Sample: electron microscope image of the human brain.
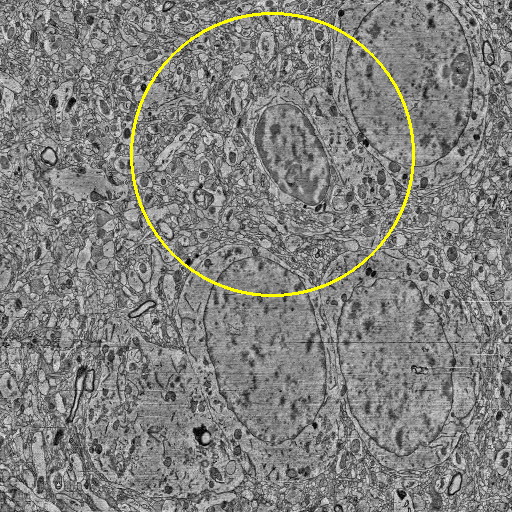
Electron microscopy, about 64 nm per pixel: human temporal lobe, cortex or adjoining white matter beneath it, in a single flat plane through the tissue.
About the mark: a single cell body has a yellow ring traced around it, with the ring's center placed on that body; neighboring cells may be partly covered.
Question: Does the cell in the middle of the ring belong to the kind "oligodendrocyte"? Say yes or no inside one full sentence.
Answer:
No, the cell at the ring's center in this image belongs to a different kind.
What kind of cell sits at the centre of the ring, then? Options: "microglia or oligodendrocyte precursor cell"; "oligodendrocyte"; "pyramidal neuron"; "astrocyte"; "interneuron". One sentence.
The cell ringed in the picture is a microglial cell or oligodendrocyte precursor cell.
